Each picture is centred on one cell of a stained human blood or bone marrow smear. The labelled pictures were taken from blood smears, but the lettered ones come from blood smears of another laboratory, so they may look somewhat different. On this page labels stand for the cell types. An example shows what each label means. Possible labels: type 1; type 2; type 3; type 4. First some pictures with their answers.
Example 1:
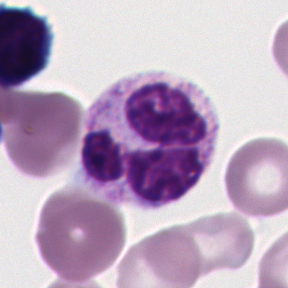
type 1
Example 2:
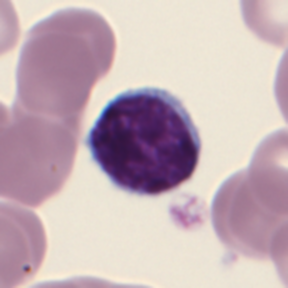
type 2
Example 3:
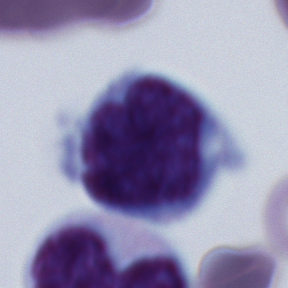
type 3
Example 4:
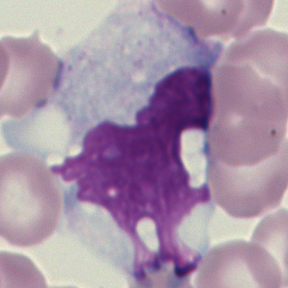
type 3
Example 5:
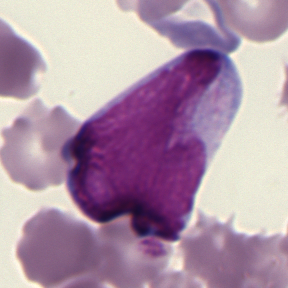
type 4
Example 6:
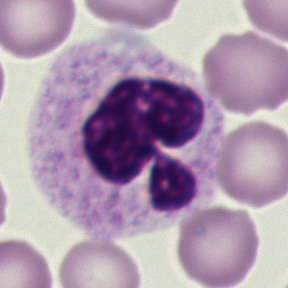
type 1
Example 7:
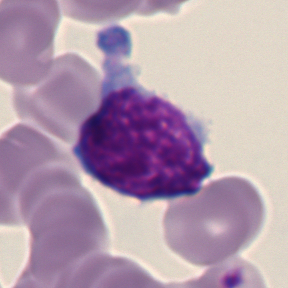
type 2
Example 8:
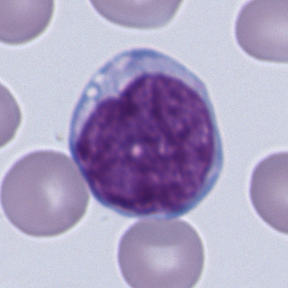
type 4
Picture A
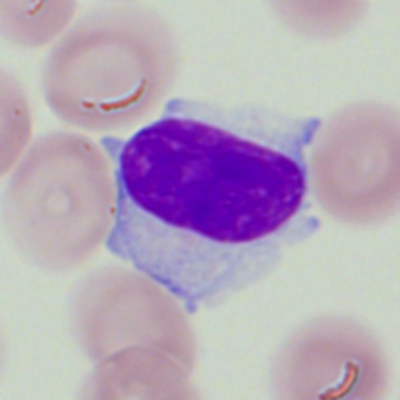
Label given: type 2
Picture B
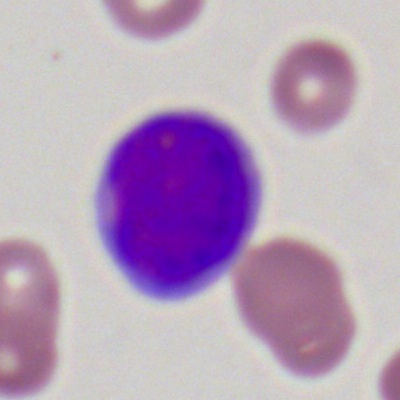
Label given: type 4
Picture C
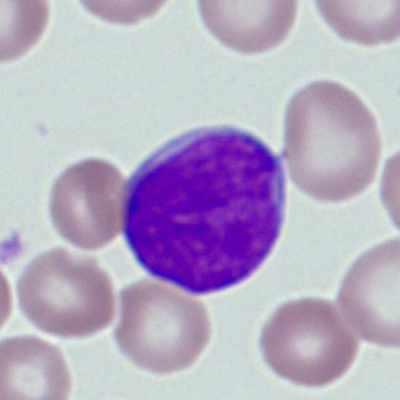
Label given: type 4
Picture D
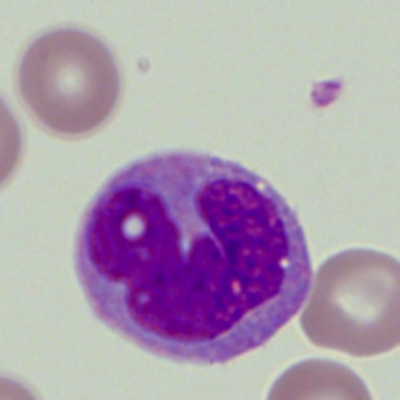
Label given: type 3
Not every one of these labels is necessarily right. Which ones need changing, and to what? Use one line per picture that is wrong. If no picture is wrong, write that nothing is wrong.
No label is wrong.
